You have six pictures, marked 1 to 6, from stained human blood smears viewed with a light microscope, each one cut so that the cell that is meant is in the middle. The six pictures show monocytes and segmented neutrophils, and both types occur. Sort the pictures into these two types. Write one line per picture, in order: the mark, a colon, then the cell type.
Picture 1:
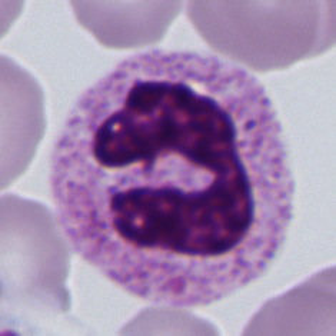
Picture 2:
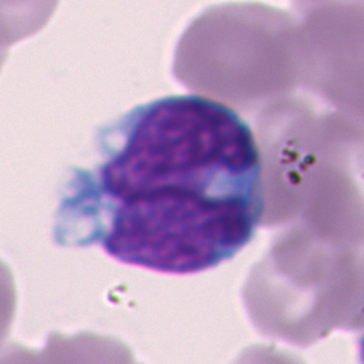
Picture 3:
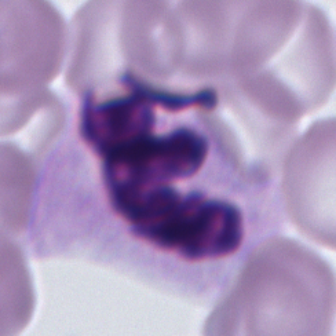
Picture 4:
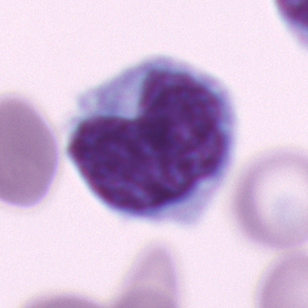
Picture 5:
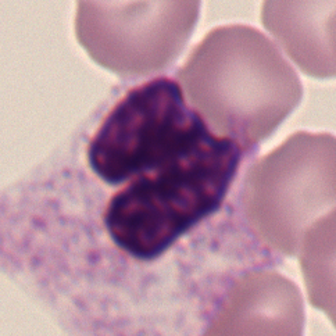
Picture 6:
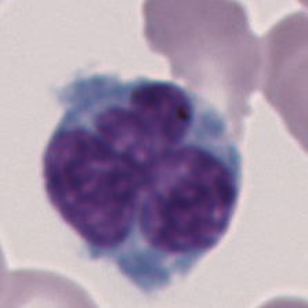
1: segmented neutrophil
2: monocyte
3: segmented neutrophil
4: monocyte
5: segmented neutrophil
6: monocyte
